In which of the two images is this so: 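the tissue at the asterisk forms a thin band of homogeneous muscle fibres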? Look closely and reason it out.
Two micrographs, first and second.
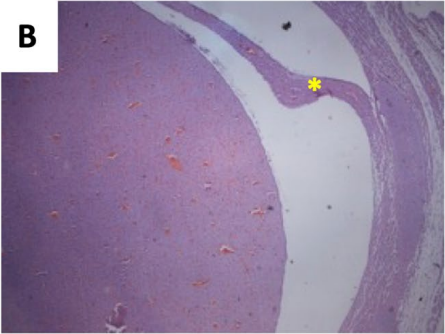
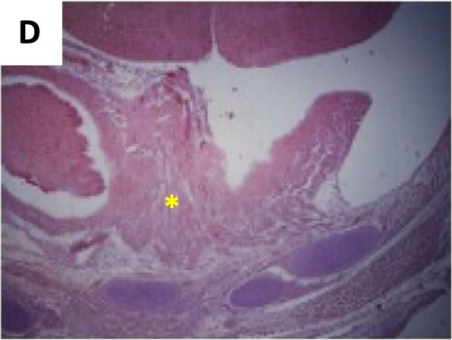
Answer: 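Second image: the asterisk marks an irregular, shapeless pink mass with streaky texture.
The first image.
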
